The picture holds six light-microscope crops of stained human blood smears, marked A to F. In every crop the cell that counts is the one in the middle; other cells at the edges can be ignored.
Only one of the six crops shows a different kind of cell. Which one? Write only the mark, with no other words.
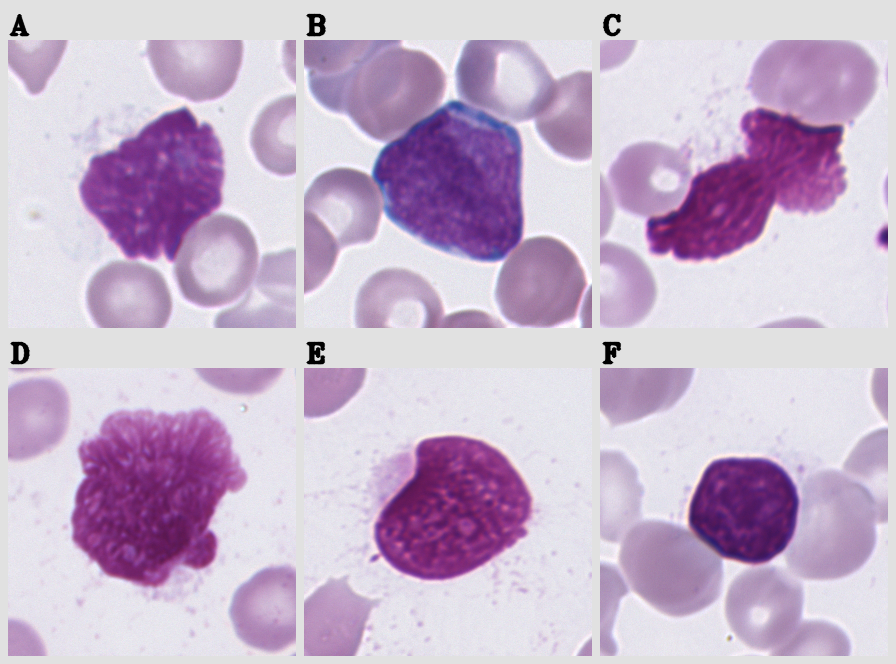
B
